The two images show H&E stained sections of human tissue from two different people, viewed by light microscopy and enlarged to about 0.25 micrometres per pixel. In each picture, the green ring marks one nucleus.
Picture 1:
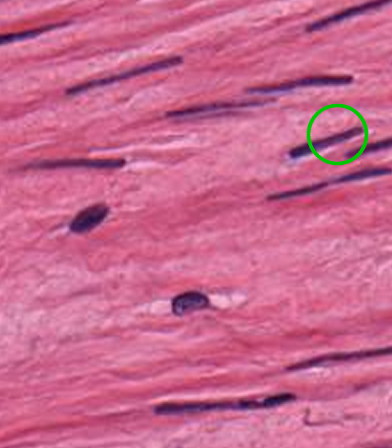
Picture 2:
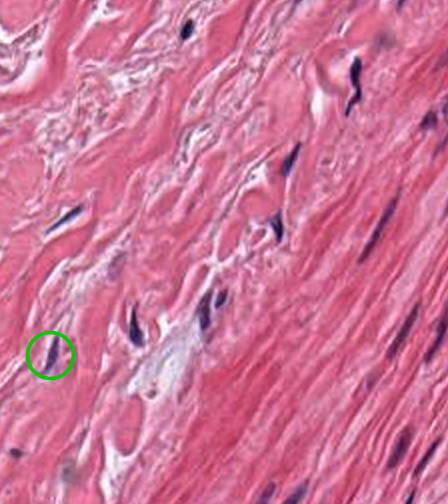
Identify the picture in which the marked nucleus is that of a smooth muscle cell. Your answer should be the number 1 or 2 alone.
1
